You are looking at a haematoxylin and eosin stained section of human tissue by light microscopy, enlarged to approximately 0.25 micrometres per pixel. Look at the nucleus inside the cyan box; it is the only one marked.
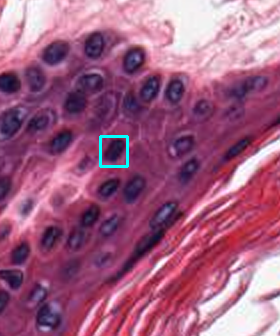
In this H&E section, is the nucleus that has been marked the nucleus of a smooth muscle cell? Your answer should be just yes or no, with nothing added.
no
